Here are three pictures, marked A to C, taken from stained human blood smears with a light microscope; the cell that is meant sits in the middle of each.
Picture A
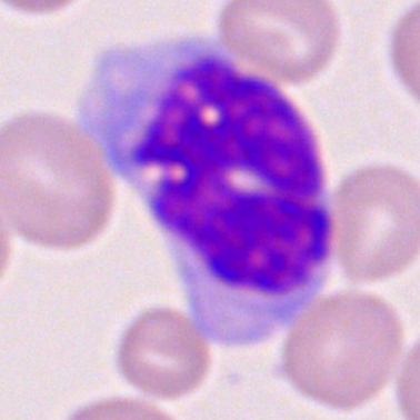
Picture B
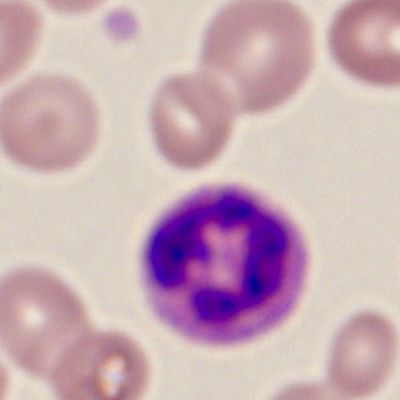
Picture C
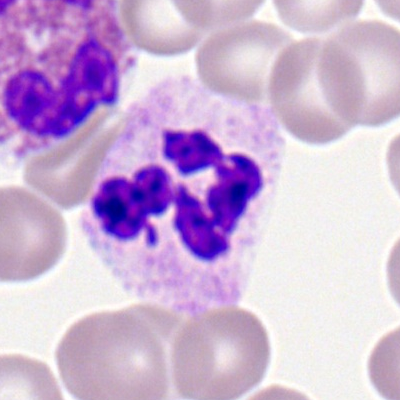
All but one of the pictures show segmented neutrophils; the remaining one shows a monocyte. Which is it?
A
